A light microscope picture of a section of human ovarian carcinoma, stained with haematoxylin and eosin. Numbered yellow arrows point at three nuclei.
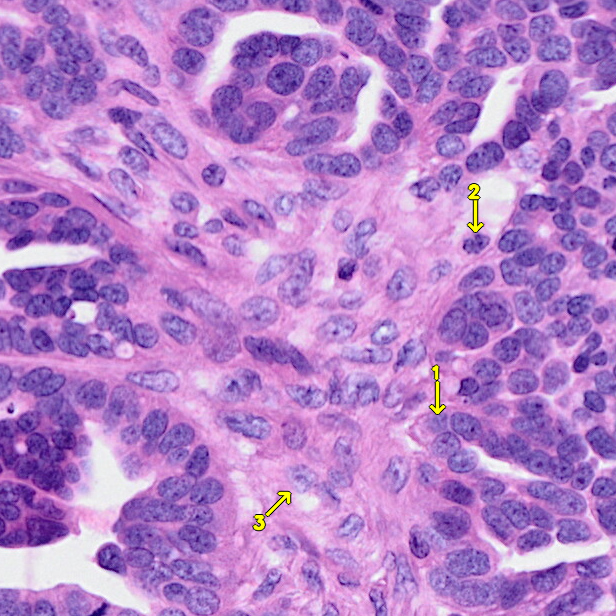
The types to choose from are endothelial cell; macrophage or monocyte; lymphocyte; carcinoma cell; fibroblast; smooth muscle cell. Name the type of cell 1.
carcinoma cell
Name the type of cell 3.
fibroblast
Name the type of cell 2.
macrophage or monocyte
